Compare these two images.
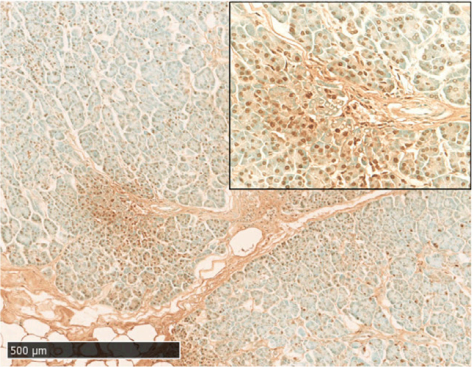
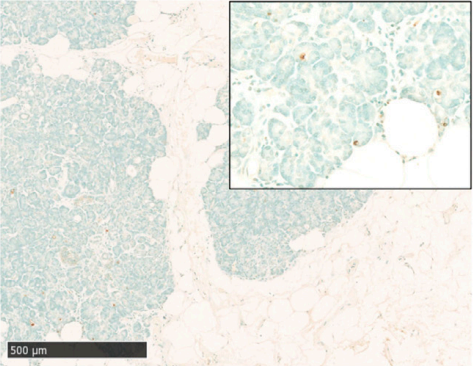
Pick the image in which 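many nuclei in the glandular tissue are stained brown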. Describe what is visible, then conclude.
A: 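First image: numerous brown nuclei in acinar lobules, clustered near a fibrous band. Second image: glandular tissue is pale green-blue with only scattered single brown dots. So: the first image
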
